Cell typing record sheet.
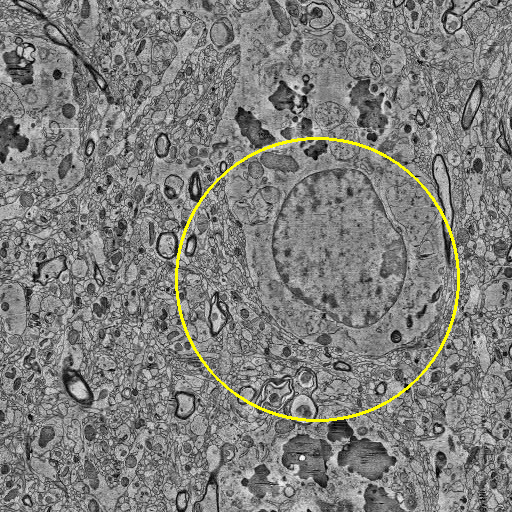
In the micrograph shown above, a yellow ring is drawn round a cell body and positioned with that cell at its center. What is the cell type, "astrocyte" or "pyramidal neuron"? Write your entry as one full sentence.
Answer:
The cell body at the center of the ring belongs to an astrocyte.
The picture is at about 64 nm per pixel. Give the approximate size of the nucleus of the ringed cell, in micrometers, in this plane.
Approximately 11 micrometres long and 8 micrometres wide, in this plane.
